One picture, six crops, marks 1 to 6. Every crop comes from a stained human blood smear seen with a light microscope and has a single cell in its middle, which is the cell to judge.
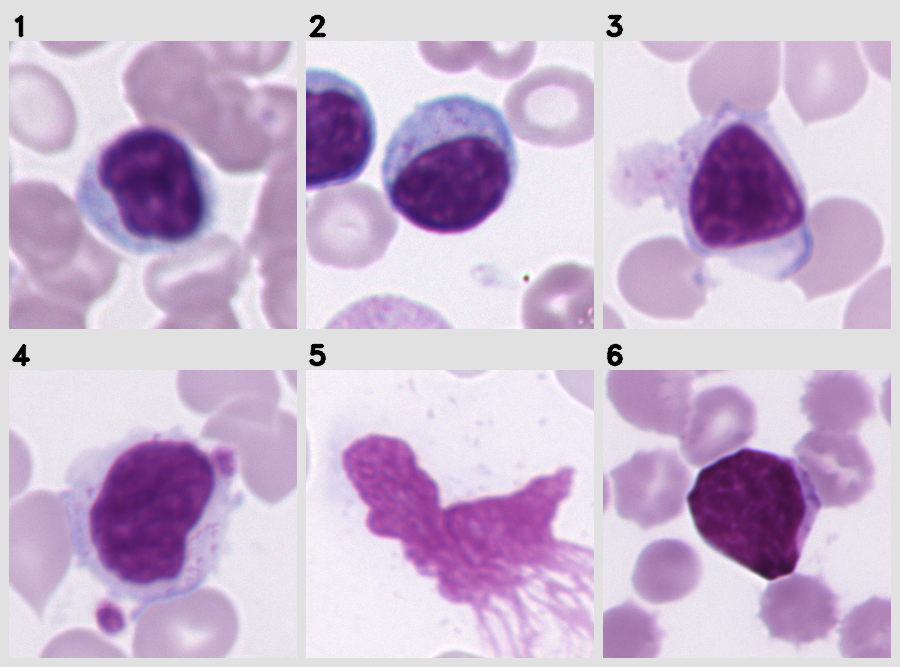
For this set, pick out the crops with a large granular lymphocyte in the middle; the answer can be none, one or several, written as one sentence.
In crops 3 and 4, the cells centred in the field are large granular lymphocytes.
